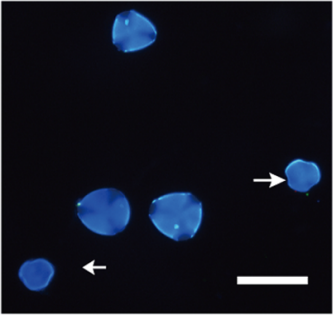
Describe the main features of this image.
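Pollen grains glowing blue on a black ground, most of them rounded-triangular with bright edges at the corners. Small bright dots lie within several of the larger grains.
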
